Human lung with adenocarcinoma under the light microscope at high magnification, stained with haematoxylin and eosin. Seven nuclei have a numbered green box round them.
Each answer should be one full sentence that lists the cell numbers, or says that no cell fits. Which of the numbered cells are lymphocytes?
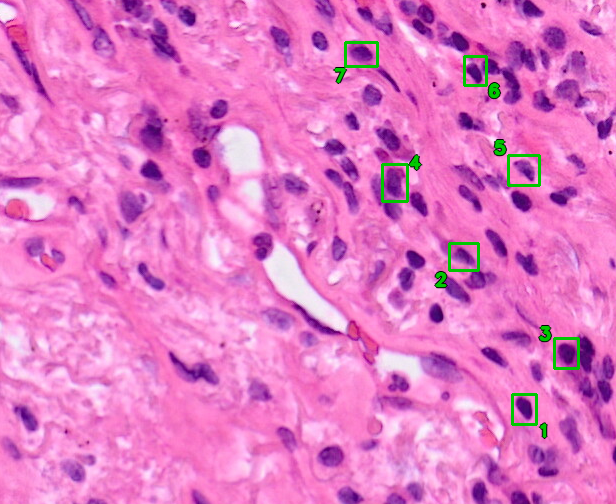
The cells that the numbers 1, 5 and 6 belong to are lymphocytes.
